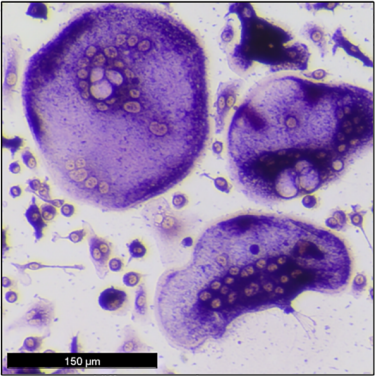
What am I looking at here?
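Several giant rounded osteoclasts fill the field, each stained purple with a granular cytoplasm and holding dozens of round pale nuclei grouped together. Staining is denser toward the cell edges. Small mononuclear cells, some spread with short processes, lie in the spaces between them.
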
